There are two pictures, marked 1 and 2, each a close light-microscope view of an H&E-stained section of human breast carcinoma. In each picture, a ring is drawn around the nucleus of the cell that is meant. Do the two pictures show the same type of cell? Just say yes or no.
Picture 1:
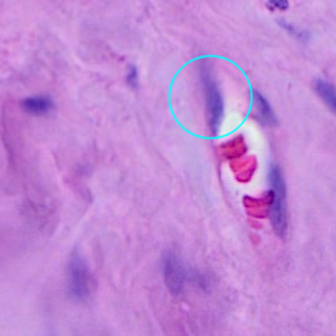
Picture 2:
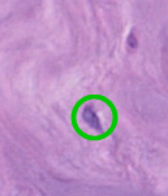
no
